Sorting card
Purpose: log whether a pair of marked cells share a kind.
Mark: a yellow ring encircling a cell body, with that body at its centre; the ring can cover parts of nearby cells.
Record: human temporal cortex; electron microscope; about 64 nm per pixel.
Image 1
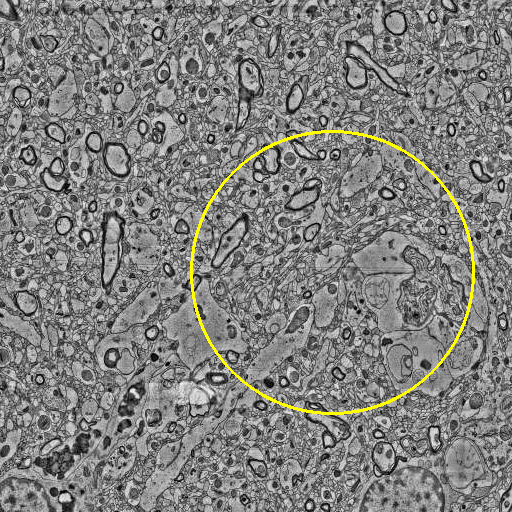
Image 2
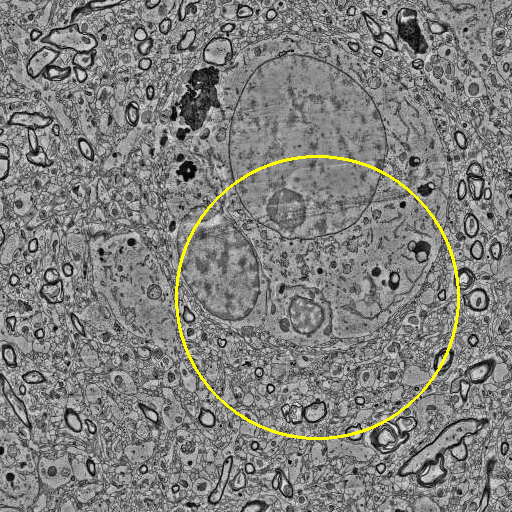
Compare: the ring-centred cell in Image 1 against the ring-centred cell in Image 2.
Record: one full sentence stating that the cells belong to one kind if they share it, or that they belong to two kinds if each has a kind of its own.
Across Images 1 and 2, the two ring-centred cells belong to two kinds.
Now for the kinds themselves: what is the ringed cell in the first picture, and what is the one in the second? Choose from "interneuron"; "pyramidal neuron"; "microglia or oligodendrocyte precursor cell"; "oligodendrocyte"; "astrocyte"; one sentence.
Here the first cell is a microglial cell or oligodendrocyte precursor cell and the second cell is an oligodendrocyte.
